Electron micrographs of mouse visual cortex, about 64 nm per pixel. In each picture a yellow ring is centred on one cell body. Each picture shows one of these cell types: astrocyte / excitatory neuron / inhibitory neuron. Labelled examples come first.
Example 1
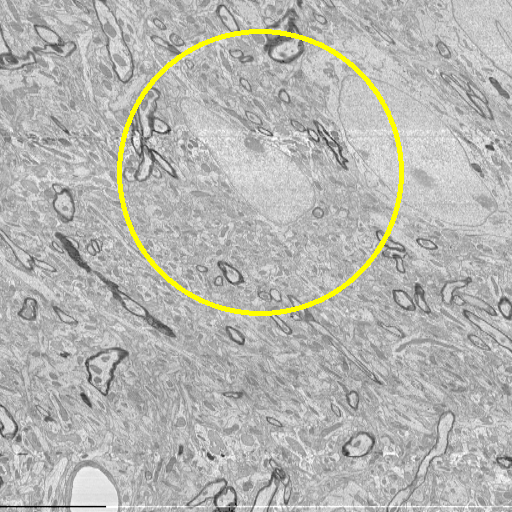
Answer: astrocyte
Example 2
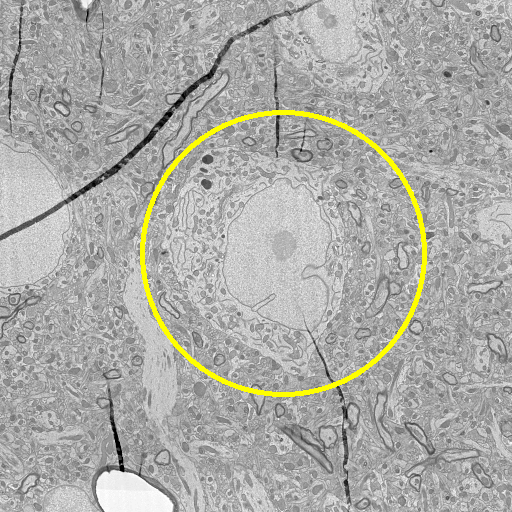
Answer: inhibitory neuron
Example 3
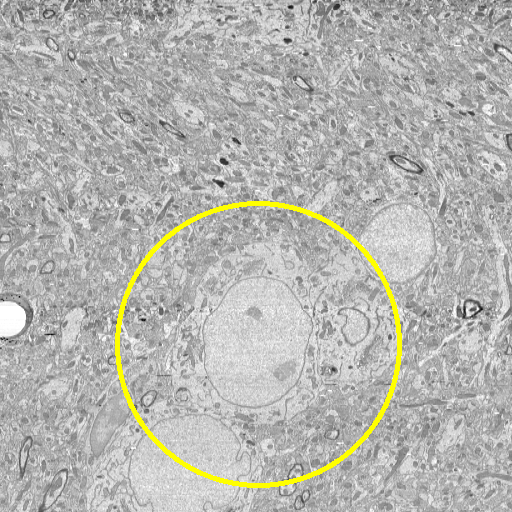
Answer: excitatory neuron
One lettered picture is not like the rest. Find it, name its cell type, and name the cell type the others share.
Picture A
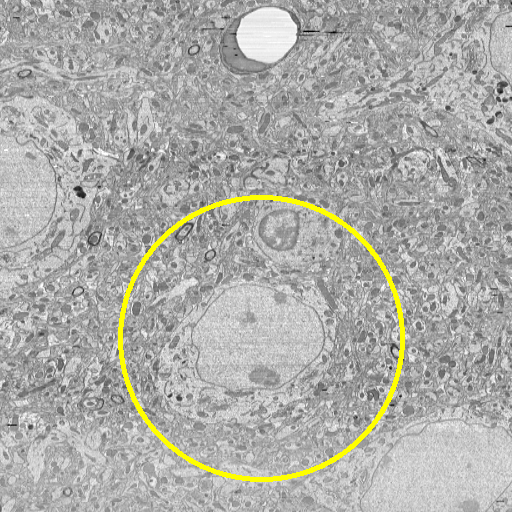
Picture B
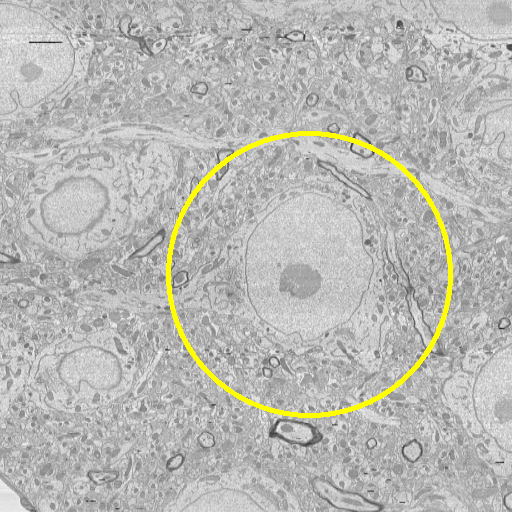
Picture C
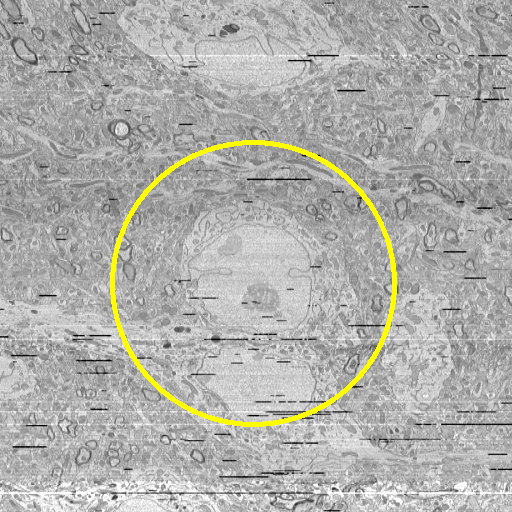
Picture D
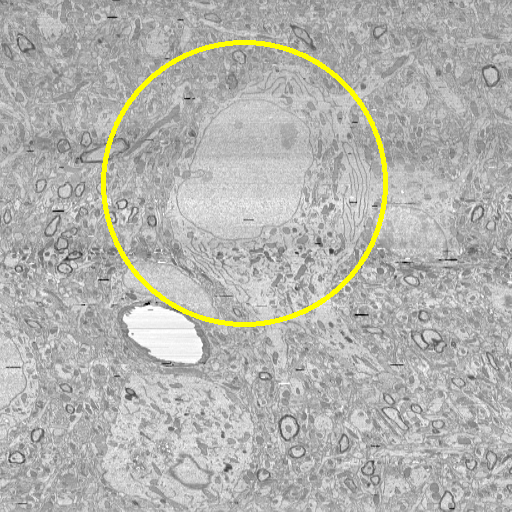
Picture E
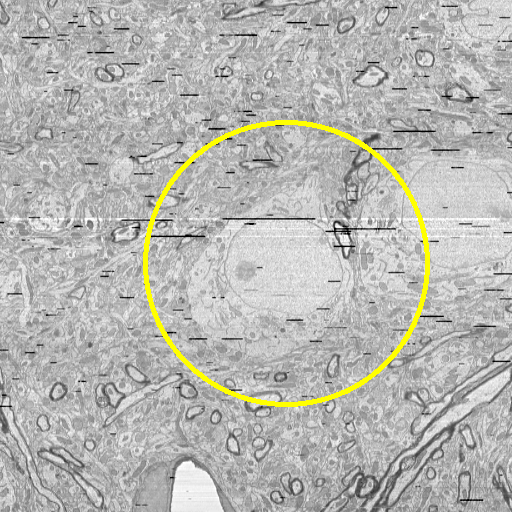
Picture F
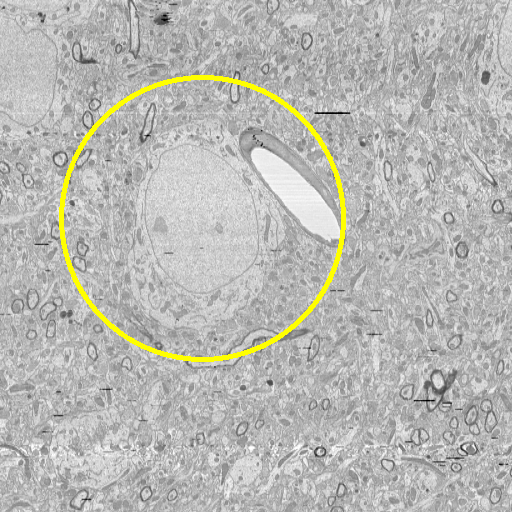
Exception: C, showing inhibitory neuron. Remaining pictures: excitatory neuron.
